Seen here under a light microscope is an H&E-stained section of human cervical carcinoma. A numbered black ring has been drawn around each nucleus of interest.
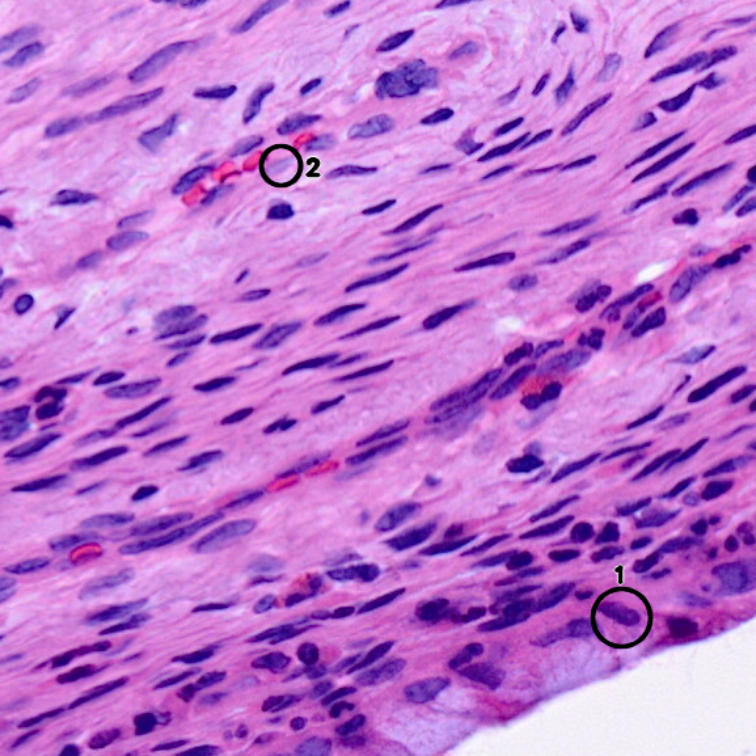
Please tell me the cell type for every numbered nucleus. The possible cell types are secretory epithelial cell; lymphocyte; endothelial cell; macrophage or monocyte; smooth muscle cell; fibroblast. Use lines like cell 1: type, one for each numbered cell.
cell 1: secretory epithelial cell
cell 2: endothelial cell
